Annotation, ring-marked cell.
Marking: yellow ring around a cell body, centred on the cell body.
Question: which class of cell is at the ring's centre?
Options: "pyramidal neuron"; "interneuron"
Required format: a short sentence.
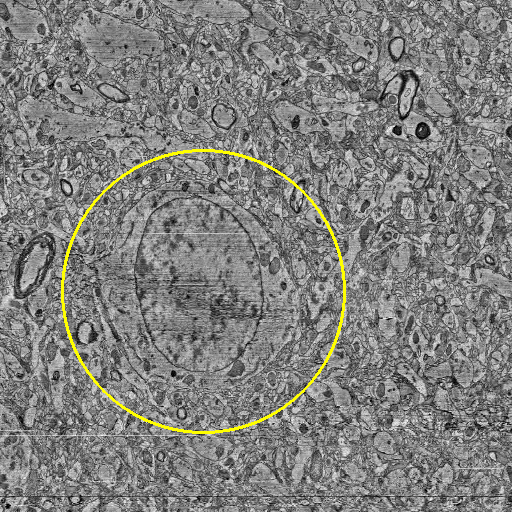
At the ring's centre is a pyramidal neuron.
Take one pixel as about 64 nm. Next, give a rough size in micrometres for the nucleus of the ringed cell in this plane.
The ringed cell's nucleus measures approximately 12 by 8 micrometres in this plane.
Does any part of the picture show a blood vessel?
No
